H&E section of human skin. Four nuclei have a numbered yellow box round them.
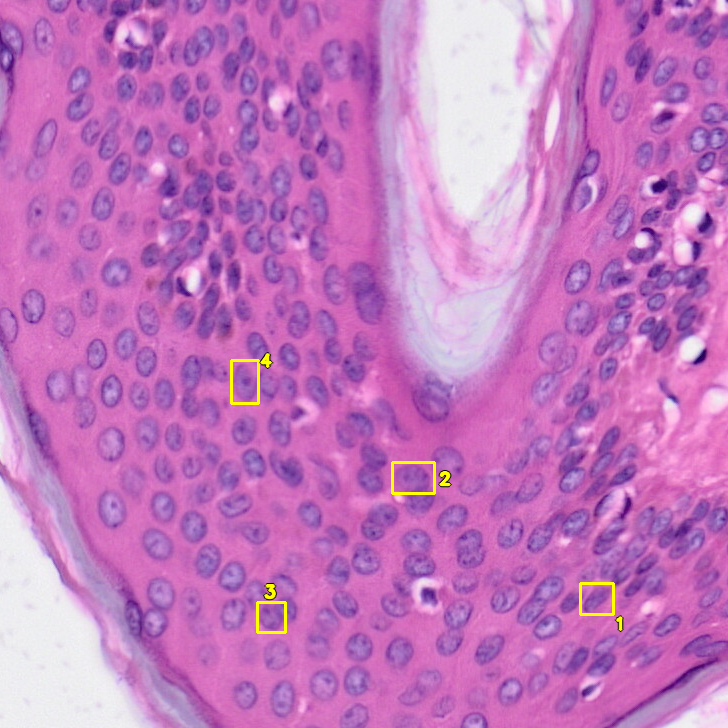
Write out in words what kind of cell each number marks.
Cell 1 is a basal keratinocyte, cell 2 is a suprabasal keratinocyte, cell 3 is a suprabasal keratinocyte and cell 4 is a suprabasal keratinocyte.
